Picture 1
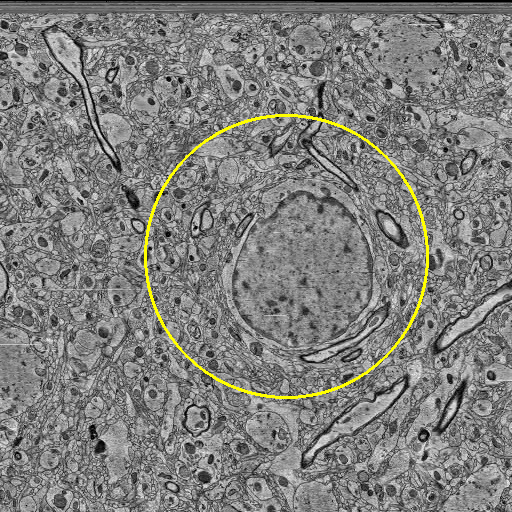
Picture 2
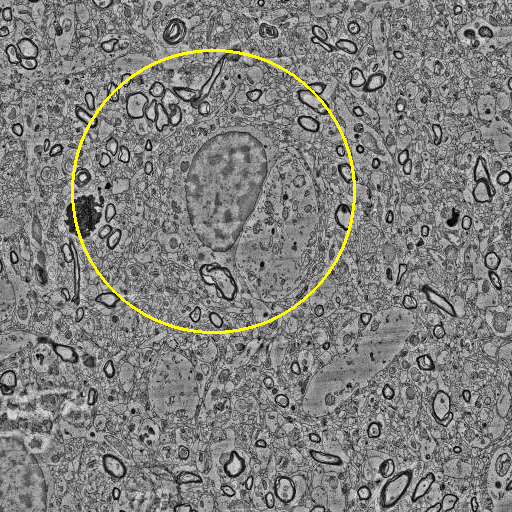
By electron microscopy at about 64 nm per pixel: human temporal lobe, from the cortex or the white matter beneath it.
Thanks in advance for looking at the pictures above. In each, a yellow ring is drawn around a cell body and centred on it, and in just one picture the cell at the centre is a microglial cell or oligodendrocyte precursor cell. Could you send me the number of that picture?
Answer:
1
